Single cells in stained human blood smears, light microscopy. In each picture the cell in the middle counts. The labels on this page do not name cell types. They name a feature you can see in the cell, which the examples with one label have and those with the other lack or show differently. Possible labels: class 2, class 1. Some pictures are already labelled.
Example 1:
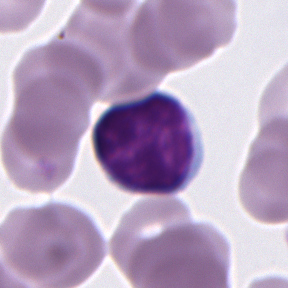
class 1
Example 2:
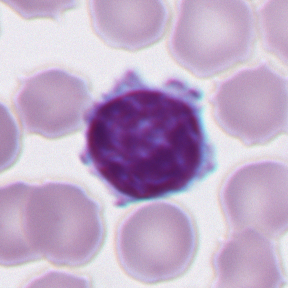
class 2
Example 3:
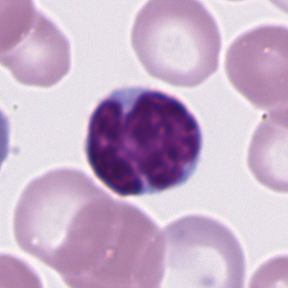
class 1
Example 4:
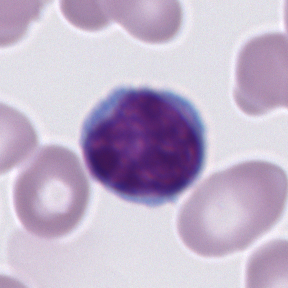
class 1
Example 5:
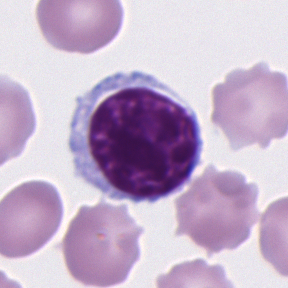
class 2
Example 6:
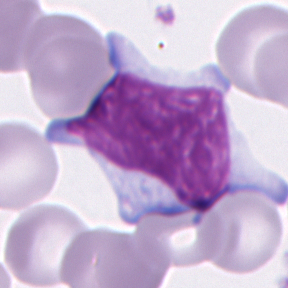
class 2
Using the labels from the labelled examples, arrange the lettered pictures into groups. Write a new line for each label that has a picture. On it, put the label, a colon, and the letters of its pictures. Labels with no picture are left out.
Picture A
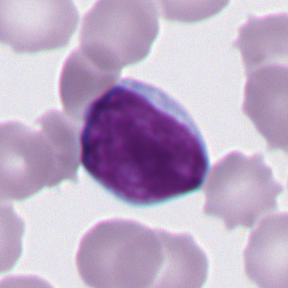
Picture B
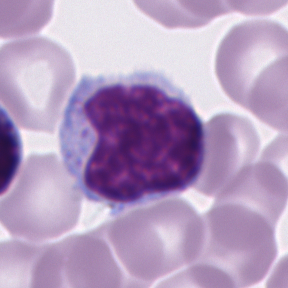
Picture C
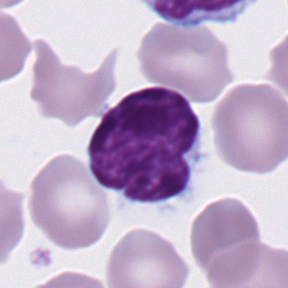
class 2: B, C
class 1: A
